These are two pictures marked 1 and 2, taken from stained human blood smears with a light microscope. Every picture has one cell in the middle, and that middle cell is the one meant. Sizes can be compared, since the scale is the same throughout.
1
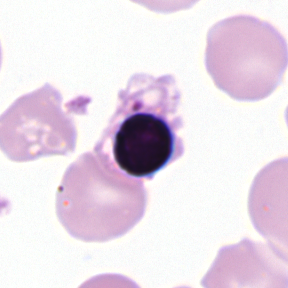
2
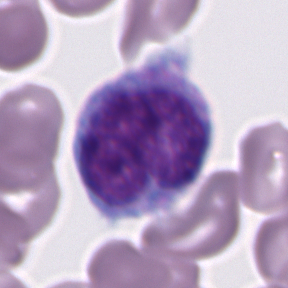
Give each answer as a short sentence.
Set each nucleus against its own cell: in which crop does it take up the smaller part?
Of the two, the nucleus in crop 1 leaves more room for cytoplasm.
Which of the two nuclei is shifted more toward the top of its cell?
The nucleus in crop 2 lies further toward the top of its cell.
